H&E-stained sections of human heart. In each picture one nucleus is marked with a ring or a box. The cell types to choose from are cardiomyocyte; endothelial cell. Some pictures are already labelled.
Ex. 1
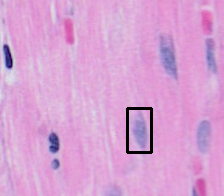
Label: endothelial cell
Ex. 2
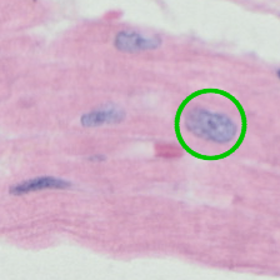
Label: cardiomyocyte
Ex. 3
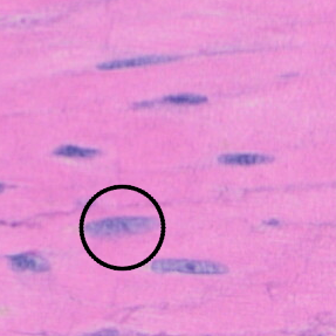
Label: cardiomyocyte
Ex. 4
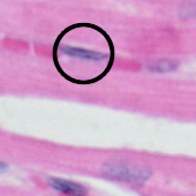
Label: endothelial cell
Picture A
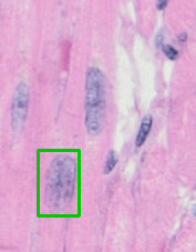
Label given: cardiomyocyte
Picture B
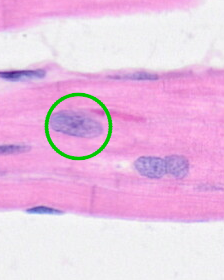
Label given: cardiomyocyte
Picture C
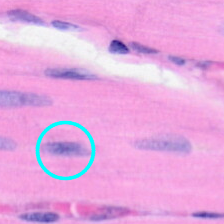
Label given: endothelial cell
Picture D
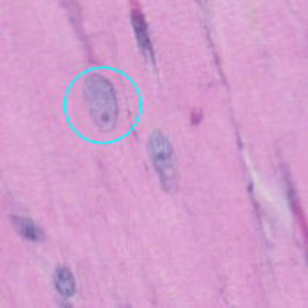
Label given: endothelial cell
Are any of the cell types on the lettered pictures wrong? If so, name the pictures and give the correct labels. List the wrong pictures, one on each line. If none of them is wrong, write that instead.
D: cardiomyocyte, not endothelial cell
